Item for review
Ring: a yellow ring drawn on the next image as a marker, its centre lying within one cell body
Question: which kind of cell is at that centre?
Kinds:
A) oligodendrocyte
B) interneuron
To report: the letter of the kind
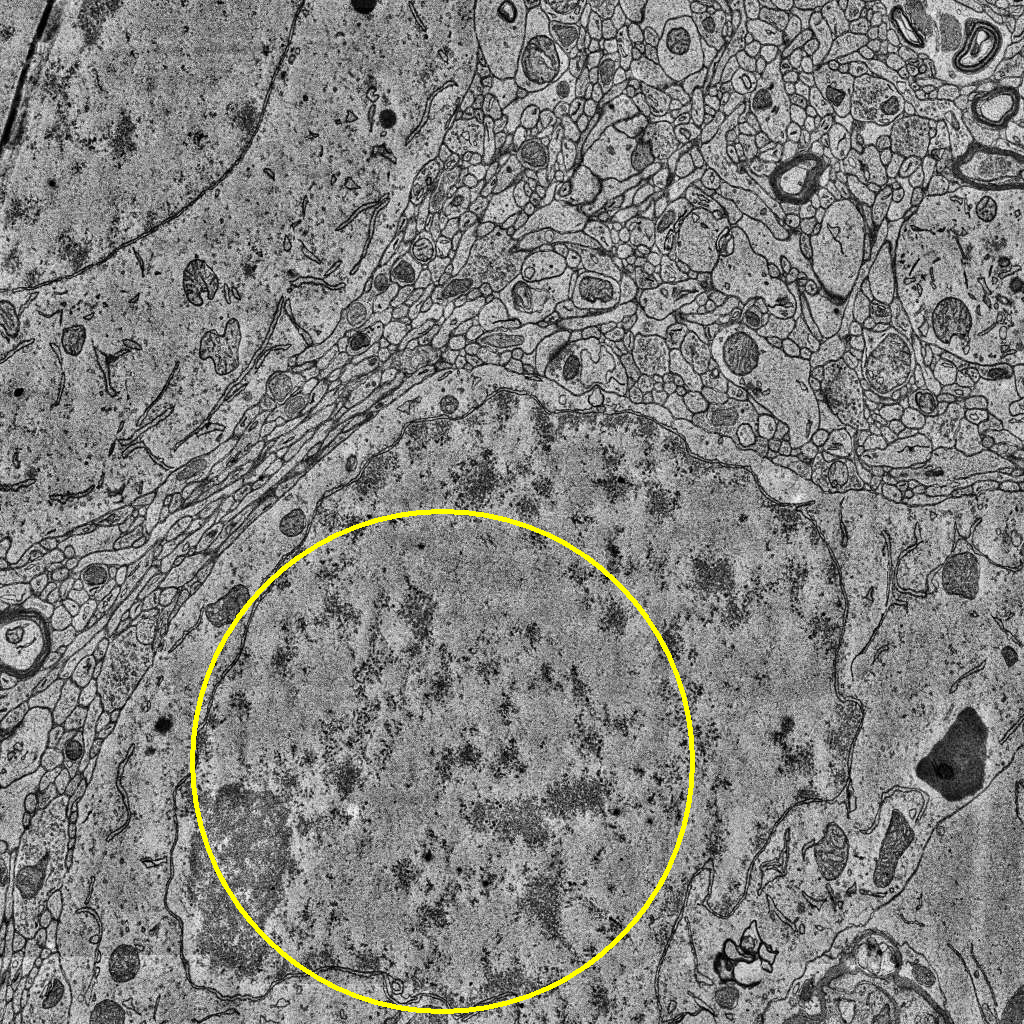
B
